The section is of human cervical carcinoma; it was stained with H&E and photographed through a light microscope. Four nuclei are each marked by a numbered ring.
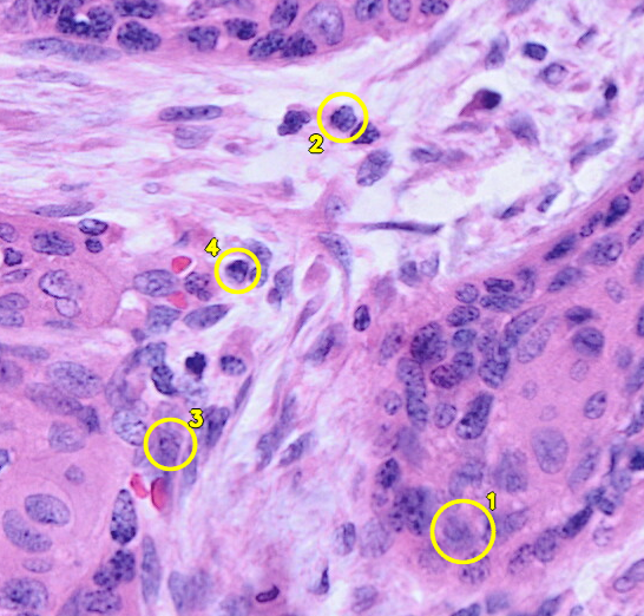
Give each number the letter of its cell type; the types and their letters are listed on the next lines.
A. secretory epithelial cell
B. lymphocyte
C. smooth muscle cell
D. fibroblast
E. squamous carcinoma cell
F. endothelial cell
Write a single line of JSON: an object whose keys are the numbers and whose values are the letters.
{"1": "E", "2": "B", "3": "F", "4": "B"}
